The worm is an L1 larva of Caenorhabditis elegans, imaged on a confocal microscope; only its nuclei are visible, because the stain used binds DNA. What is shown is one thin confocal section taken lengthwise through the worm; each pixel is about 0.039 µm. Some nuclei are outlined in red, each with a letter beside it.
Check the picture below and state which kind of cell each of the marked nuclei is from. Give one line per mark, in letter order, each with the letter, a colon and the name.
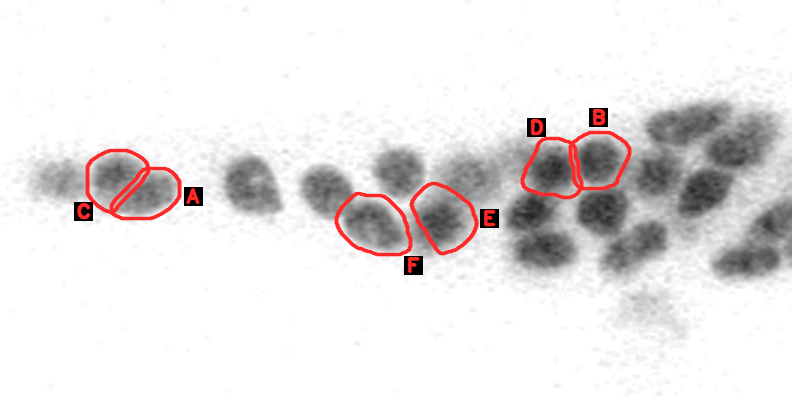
A: hypodermal cell (hyp)
B: enteric muscle cell
C: hypodermal cell (hyp)
D: neuron
E: neuron
F: hypodermal cell (hyp)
